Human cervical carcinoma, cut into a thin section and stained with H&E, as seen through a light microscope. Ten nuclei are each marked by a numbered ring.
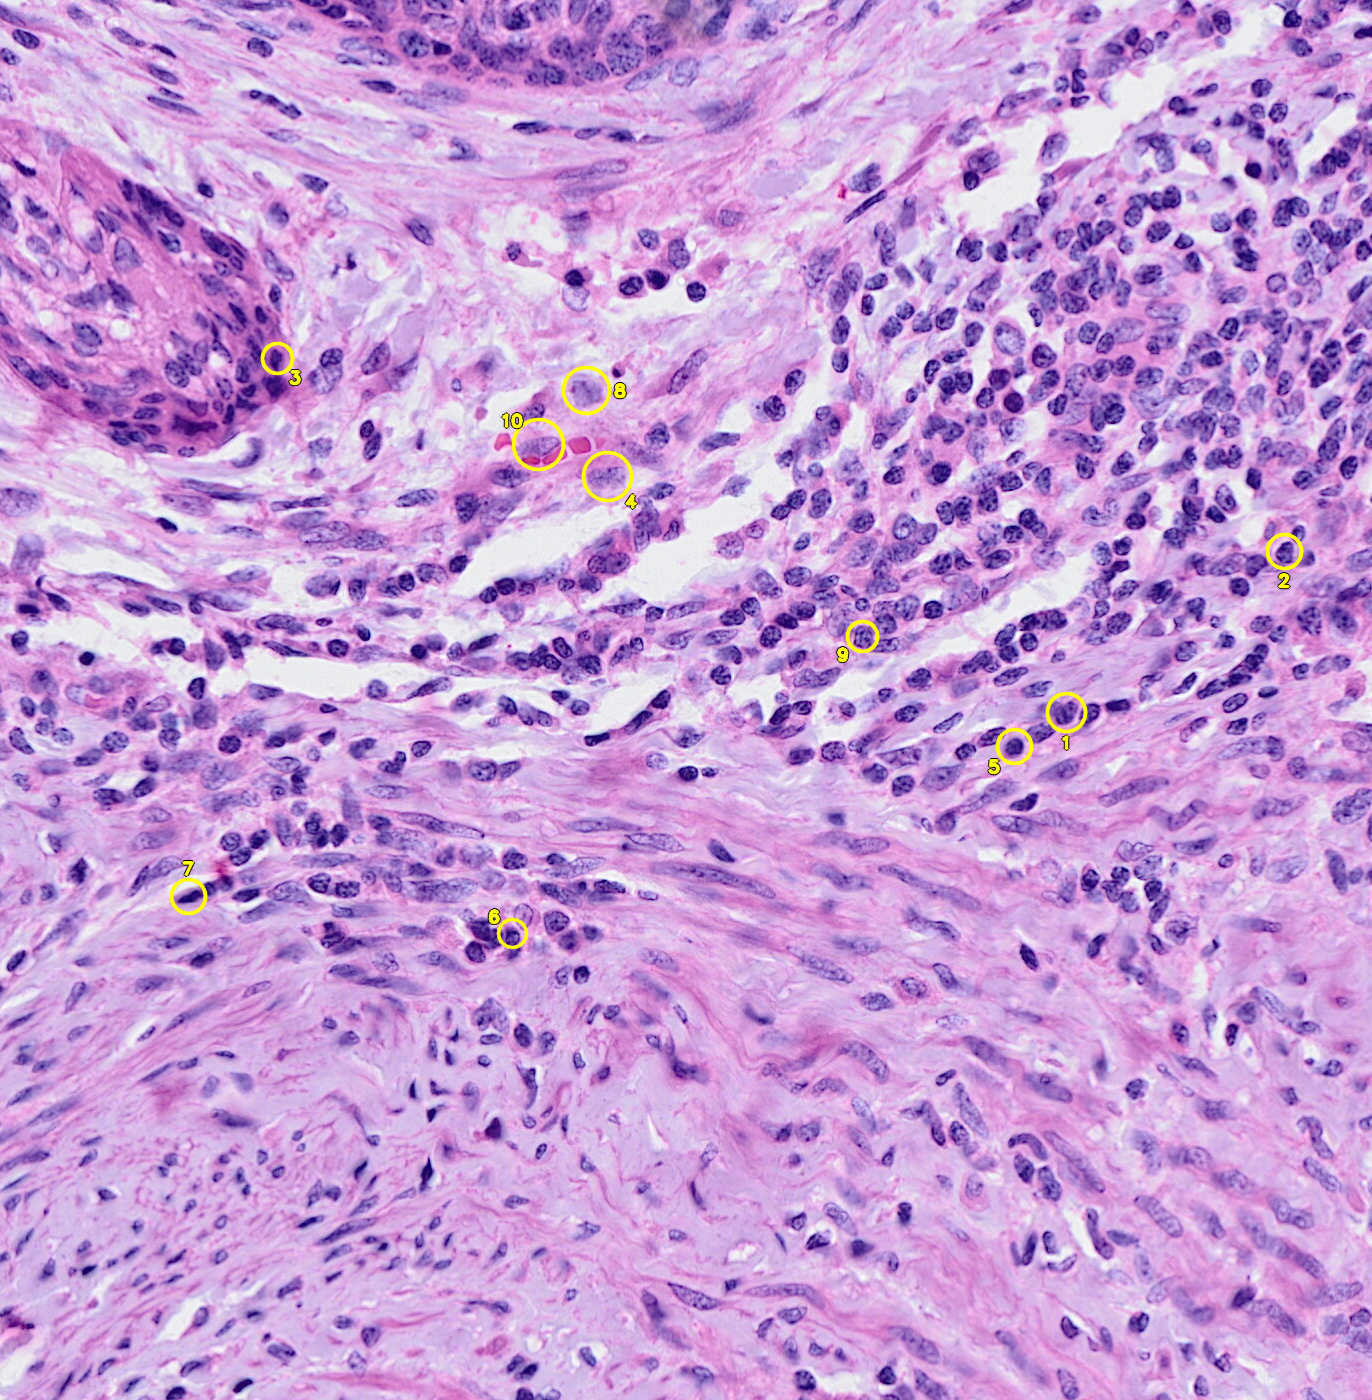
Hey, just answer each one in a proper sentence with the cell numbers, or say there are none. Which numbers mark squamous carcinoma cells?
Nothing but cell 3 is a squamous carcinoma cell among the numbered ones.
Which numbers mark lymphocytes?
The cells numbered 1, 2, 5, 6, 7 and 9 are of the kind known as lymphocytes.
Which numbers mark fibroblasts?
Of the cells marked with numbers, cell 8 is the only one that is a fibroblast.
